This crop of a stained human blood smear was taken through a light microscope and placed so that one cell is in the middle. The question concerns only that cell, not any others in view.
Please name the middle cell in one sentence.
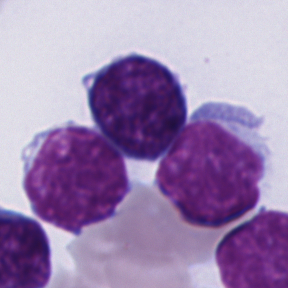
What sits at the centre of this crop is a myeloblast.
